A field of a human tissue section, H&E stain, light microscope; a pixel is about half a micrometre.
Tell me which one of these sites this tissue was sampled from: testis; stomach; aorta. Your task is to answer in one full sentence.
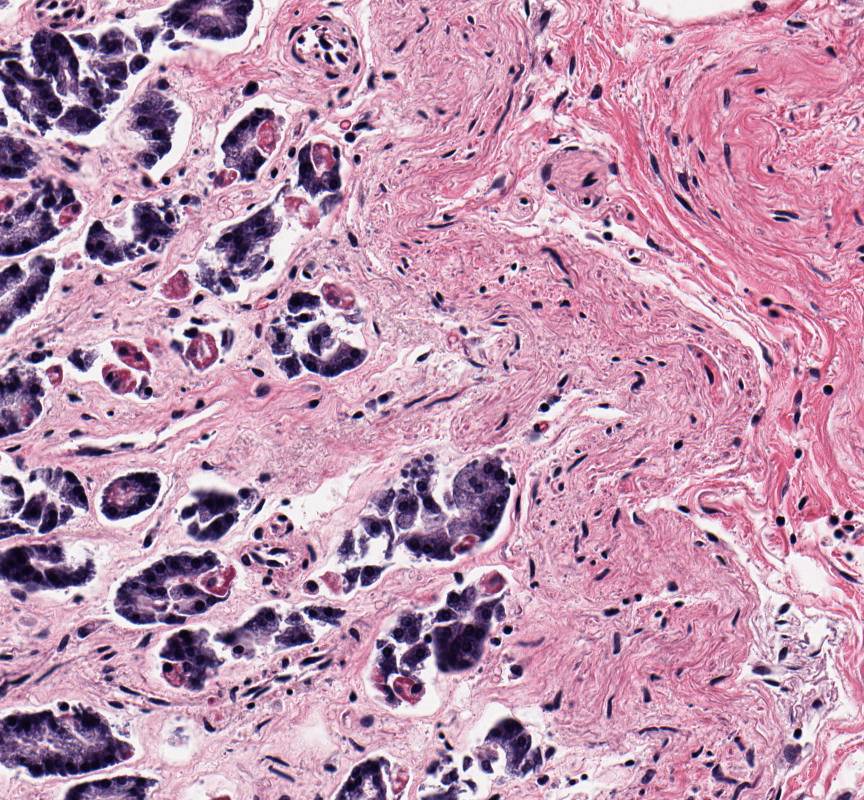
This section consists of tissue sampled from the stomach.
